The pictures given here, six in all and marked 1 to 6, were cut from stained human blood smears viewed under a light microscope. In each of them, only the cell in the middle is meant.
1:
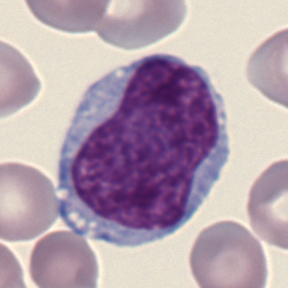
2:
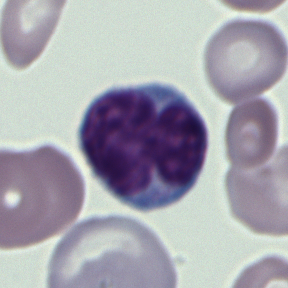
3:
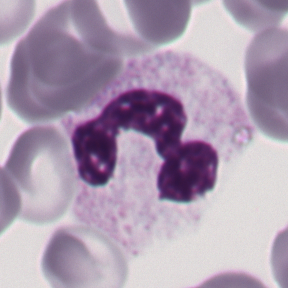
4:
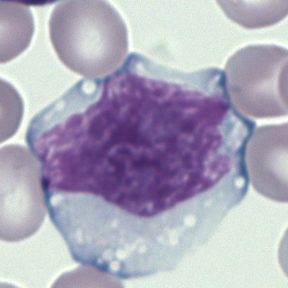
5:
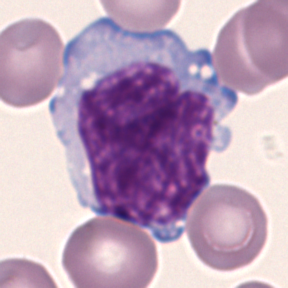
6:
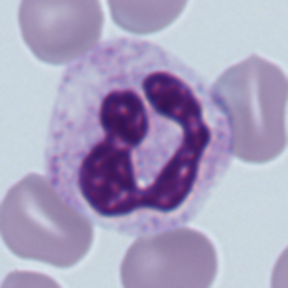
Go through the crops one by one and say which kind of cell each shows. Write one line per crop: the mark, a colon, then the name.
1: myeloblast
2: typical lymphocyte
3: segmented neutrophil
4: myeloblast
5: myeloblast
6: segmented neutrophil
